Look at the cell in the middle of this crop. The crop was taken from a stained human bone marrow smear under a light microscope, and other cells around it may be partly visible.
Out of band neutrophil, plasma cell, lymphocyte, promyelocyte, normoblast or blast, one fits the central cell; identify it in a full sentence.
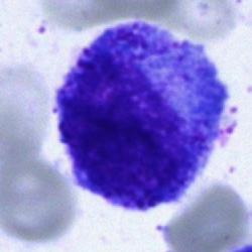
Classified as a promyelocyte is the cell in the middle of this crop.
